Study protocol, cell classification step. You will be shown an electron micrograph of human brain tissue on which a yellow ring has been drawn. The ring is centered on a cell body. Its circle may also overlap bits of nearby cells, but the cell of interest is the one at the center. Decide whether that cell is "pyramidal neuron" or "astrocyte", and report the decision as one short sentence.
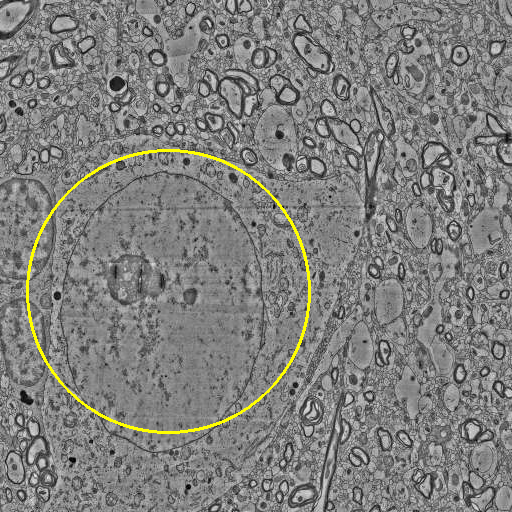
The marked cell is a pyramidal neuron.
